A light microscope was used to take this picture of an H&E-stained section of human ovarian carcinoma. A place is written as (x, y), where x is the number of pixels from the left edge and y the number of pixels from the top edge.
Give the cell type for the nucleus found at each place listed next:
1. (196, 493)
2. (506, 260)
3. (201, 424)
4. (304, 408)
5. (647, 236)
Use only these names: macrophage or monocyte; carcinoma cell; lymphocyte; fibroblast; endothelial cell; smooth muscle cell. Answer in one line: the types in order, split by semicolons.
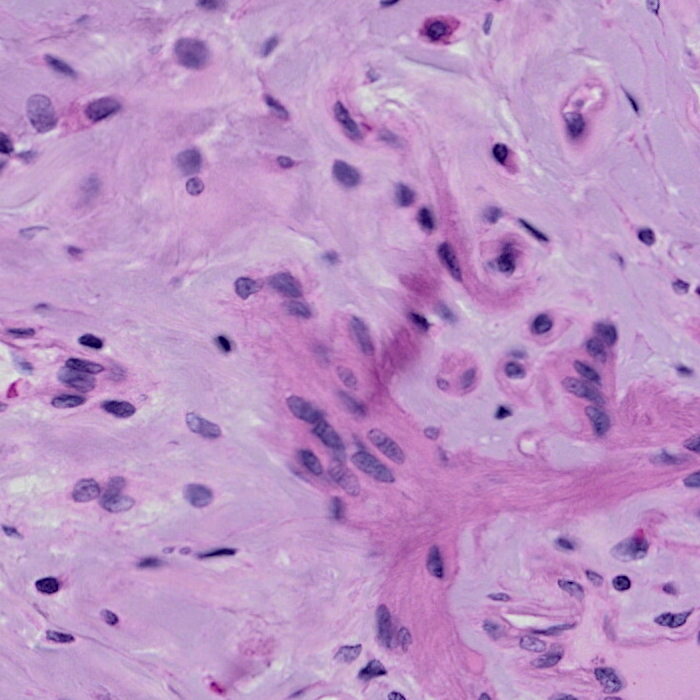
fibroblast; endothelial cell; fibroblast; smooth muscle cell; lymphocyte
